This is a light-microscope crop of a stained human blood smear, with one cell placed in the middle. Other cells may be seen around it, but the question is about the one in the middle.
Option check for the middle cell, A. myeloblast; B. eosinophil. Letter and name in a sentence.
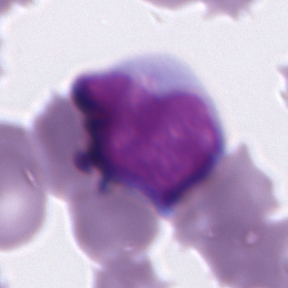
The middle cell of the crop is a myeloblast; accordingly, option A is correct.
